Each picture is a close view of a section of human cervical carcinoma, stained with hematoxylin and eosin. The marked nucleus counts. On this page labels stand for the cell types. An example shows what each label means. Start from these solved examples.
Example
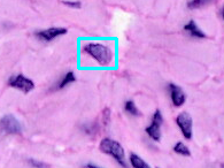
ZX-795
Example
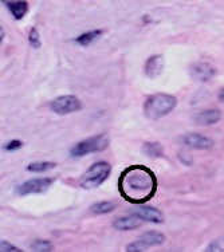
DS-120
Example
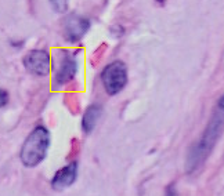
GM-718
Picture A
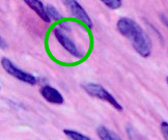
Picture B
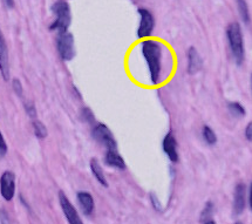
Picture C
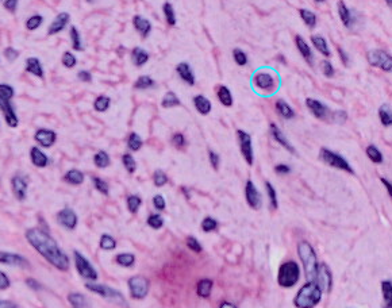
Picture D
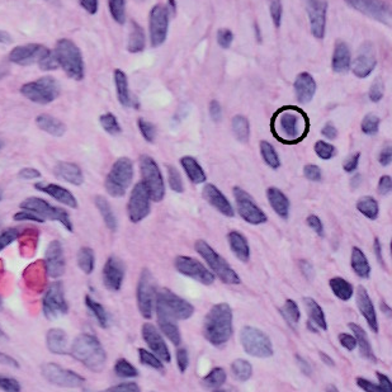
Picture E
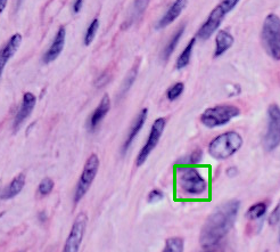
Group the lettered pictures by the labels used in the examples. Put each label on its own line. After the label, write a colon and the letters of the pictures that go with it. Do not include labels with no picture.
ZX-795: A, D
DS-120: C
GM-718: B, E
